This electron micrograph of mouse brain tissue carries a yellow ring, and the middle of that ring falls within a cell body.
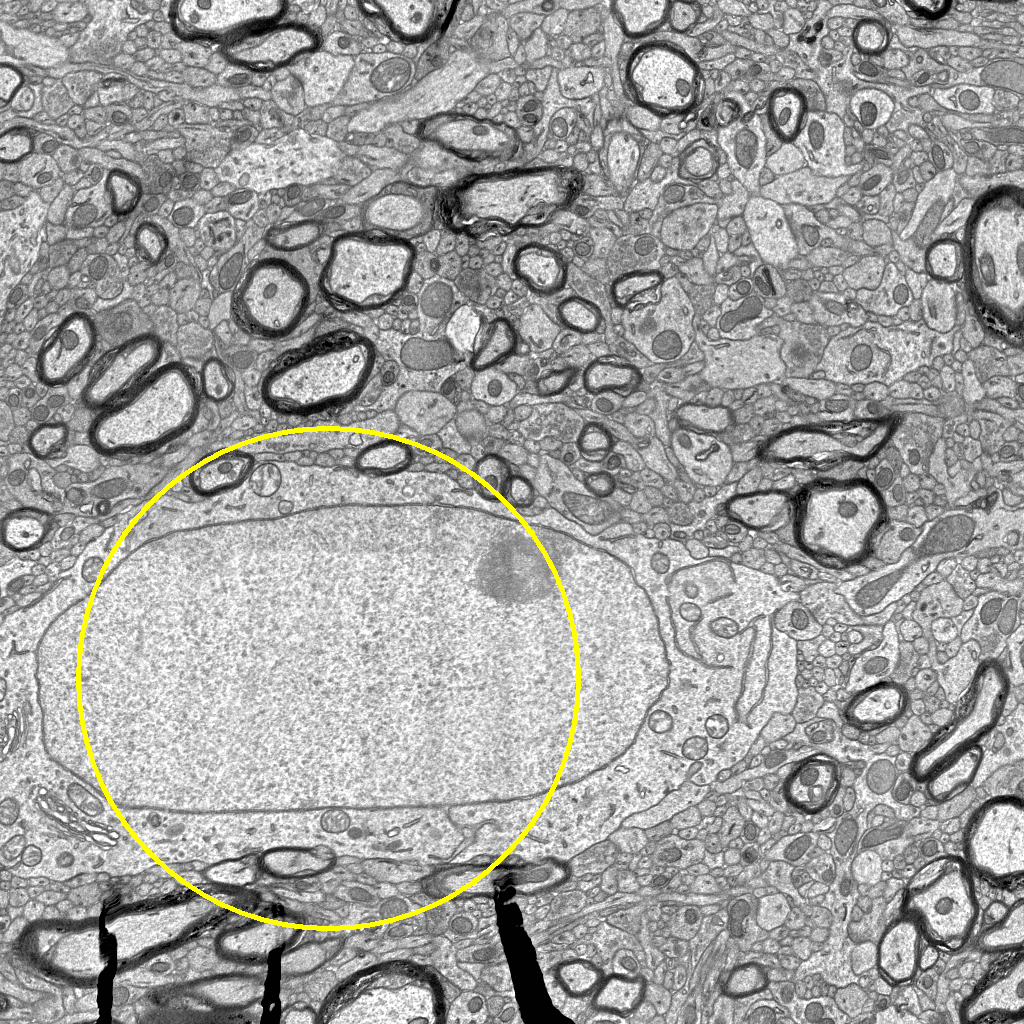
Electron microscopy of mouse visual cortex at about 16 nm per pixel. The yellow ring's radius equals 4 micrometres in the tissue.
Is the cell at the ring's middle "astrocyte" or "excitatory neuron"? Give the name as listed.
excitatory neuron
